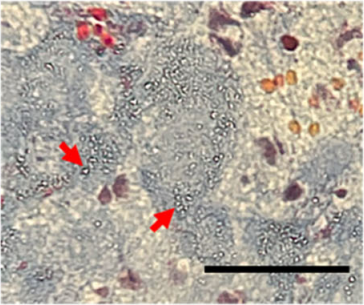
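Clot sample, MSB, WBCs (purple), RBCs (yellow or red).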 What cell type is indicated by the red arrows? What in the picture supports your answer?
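The arrows point to clusters of tiny granular particles. The particles are far smaller than the nucleated cells nearby. The particles lie within a bluish matrix. On this evidence: platelets.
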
